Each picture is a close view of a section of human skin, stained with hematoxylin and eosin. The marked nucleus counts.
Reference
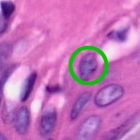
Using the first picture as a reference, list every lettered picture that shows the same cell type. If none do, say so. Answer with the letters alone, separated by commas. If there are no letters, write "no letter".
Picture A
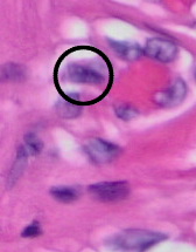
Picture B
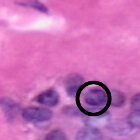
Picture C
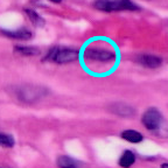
B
